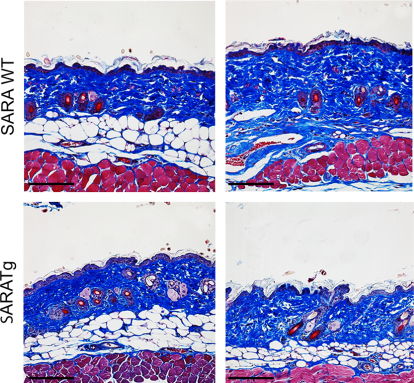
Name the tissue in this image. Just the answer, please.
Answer: Skin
